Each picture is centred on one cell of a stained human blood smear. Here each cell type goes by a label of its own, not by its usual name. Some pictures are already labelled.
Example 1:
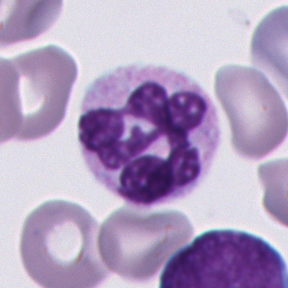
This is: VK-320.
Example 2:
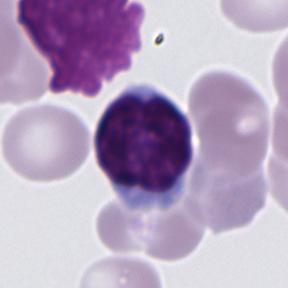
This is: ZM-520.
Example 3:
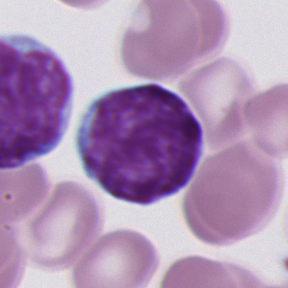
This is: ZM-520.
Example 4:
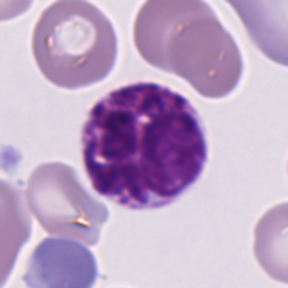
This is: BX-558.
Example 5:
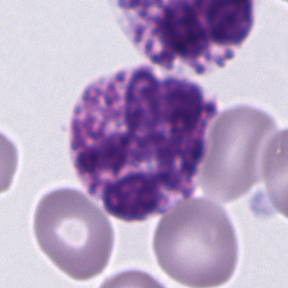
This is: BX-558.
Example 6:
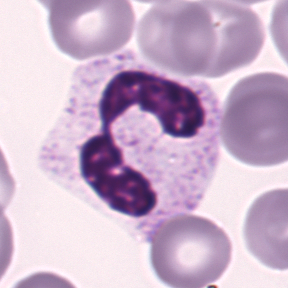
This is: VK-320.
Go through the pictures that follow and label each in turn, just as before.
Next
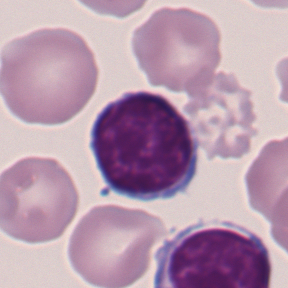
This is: ZM-520.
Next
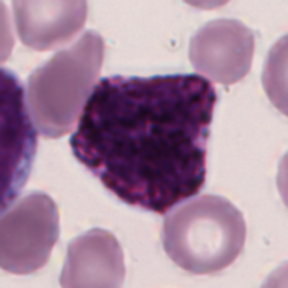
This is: BX-558.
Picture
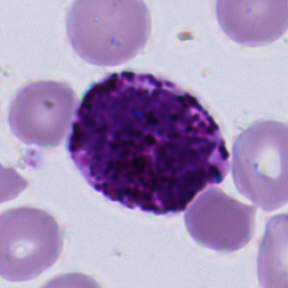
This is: BX-558.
